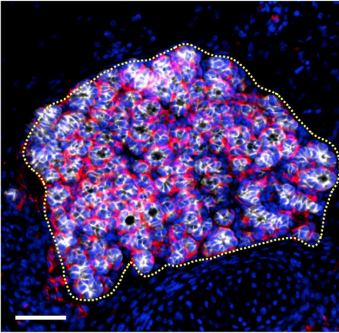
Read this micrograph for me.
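Some clusters hold a small dark central space. Outside the outline lies looser tissue with scattered blue nuclei.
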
